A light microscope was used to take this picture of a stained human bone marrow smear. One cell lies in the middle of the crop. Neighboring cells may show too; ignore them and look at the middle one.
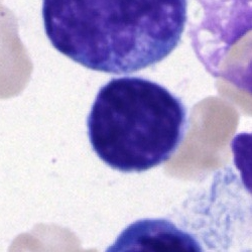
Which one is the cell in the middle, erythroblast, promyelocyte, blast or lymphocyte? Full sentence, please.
The central cell, amid any neighbouring cells, is a lymphocyte.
